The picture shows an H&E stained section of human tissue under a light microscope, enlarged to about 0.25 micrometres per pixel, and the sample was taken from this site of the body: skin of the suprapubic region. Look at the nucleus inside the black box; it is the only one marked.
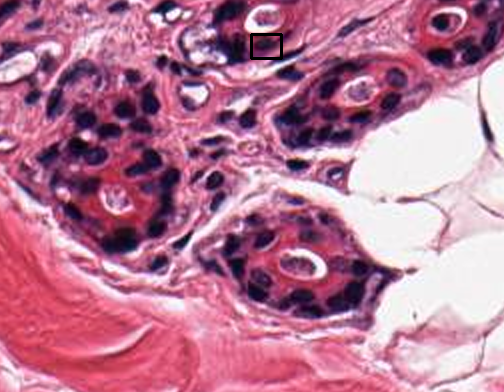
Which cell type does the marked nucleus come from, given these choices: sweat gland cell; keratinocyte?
sweat gland cell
